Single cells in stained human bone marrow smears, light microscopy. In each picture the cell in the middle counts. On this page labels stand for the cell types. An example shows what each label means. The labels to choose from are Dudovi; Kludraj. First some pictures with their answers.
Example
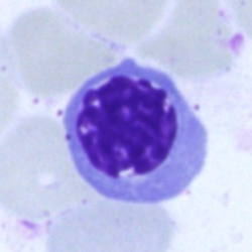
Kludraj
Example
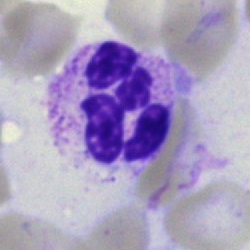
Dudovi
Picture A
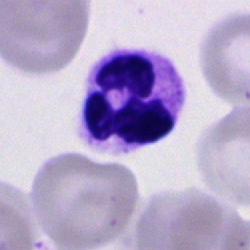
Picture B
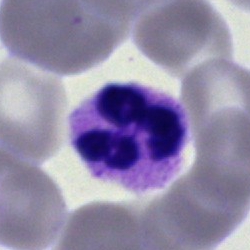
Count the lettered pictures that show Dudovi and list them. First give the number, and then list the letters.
2, namely A, B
